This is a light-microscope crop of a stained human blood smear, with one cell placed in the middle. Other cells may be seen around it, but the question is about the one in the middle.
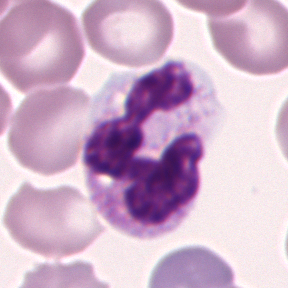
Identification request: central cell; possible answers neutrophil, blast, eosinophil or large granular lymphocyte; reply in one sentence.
In this smear crop, the middle cell is a neutrophil.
